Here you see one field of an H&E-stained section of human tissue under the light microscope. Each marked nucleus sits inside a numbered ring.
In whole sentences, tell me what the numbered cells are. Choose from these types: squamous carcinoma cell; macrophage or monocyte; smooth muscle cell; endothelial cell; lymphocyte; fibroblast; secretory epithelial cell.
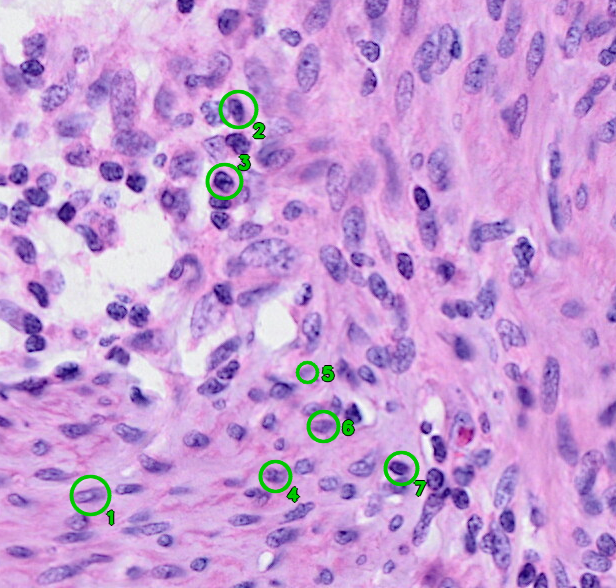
Cells 1, 4, 5 and 6 are smooth muscle cells. Cells 2, 3 and 7 are lymphocytes.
